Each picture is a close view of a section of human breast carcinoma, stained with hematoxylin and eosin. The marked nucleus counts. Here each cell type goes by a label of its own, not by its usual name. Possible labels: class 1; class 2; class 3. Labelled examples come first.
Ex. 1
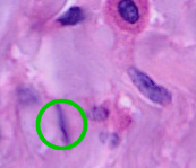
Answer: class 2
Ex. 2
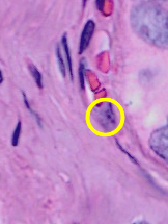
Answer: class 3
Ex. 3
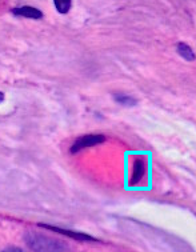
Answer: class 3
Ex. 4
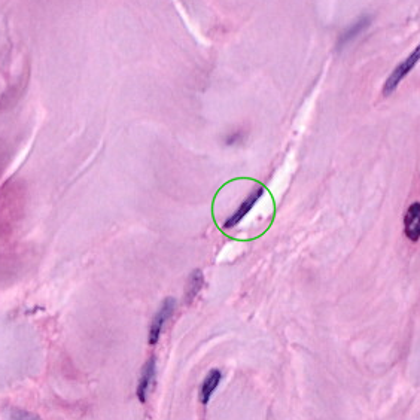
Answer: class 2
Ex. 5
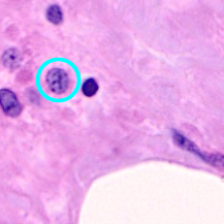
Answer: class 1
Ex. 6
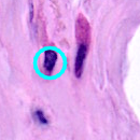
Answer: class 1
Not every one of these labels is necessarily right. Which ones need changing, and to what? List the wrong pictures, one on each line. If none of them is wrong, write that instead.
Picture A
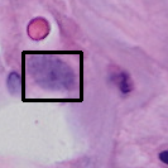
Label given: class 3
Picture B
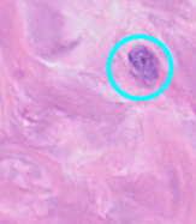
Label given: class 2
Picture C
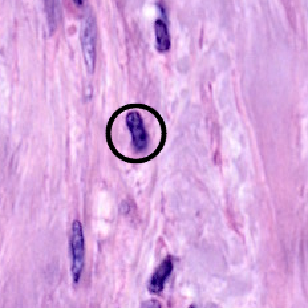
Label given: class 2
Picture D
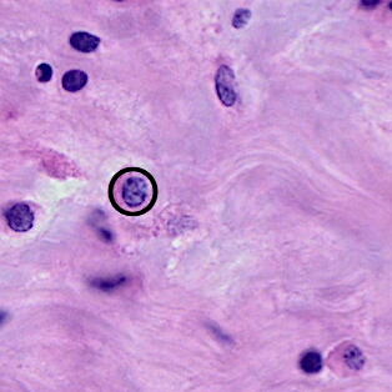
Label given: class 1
C: not class 2 but class 1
